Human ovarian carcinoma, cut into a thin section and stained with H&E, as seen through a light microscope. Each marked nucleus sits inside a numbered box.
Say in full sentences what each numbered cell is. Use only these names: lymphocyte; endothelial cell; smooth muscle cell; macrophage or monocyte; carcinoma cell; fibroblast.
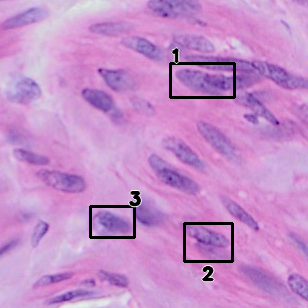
Cell 1 is a smooth muscle cell, cell 2 is a smooth muscle cell and cell 3 is a fibroblast.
